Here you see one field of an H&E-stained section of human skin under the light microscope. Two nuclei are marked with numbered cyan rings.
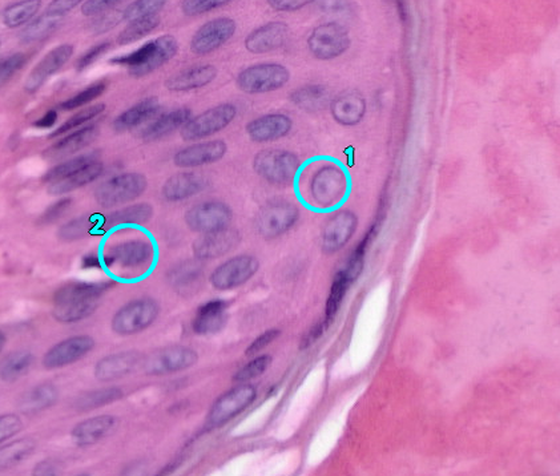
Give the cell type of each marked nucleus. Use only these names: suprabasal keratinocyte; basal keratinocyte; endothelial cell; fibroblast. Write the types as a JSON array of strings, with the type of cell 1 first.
["suprabasal keratinocyte", "basal keratinocyte"]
